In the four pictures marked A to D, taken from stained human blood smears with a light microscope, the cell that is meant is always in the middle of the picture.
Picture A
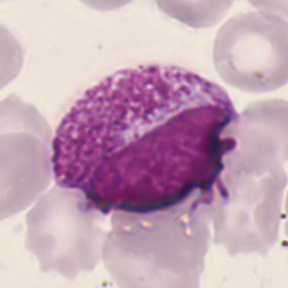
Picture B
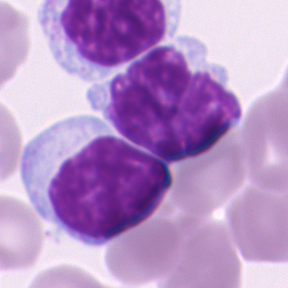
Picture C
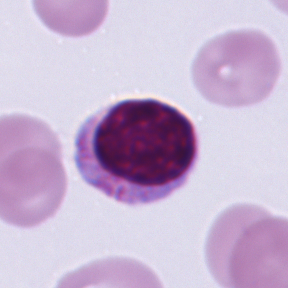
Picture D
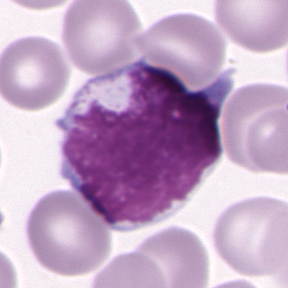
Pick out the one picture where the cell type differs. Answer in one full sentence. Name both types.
Unlike the rest, which show large granular lymphocytes, picture A shows a myelocyte.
